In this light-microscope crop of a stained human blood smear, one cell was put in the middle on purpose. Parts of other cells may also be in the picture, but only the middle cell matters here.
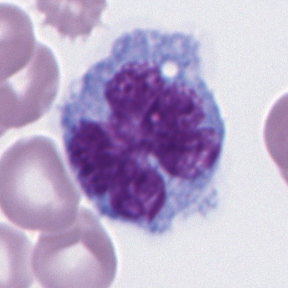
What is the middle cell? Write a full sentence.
The central cell shown in this smear crop is a monocyte.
